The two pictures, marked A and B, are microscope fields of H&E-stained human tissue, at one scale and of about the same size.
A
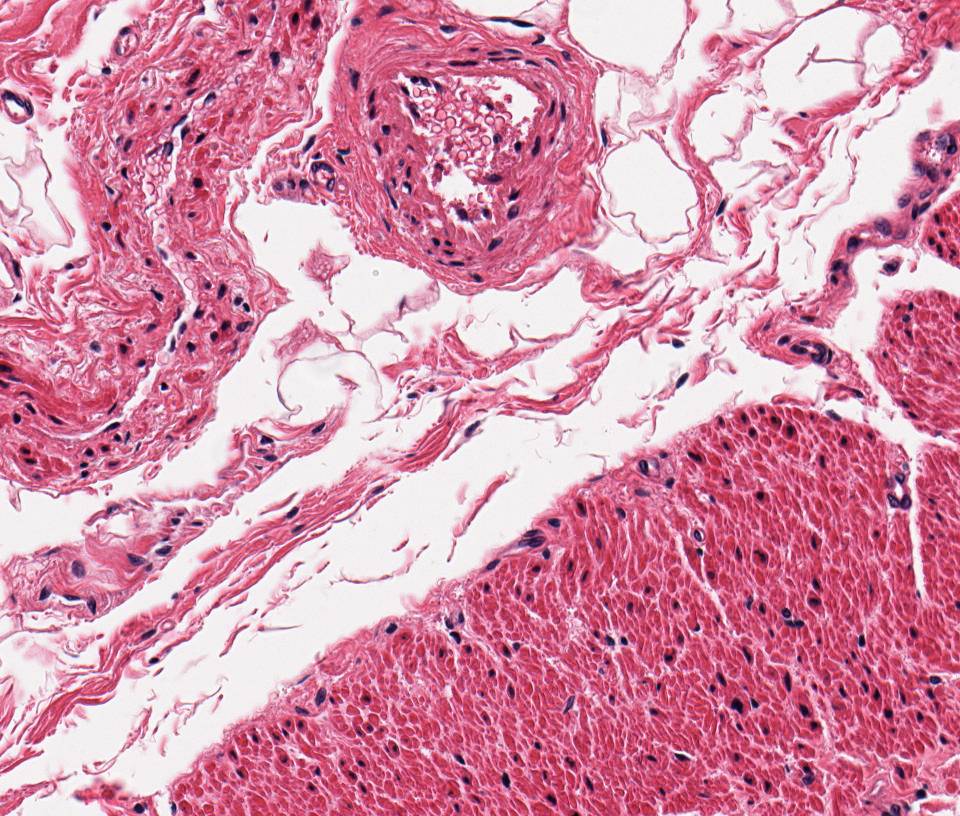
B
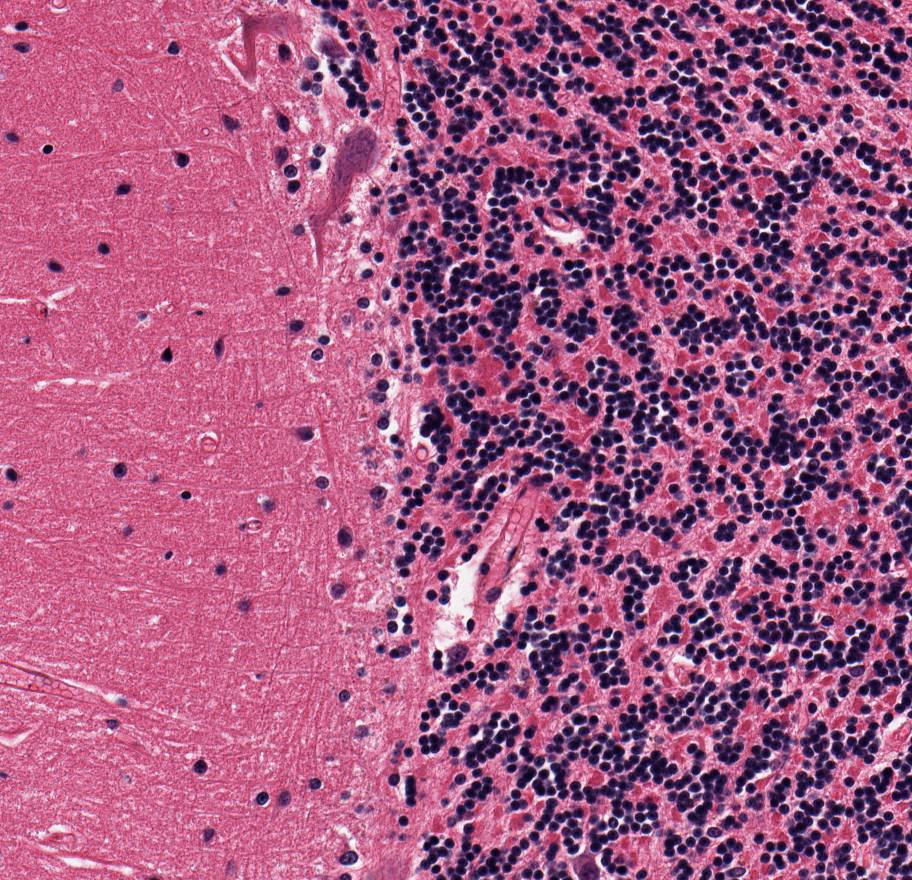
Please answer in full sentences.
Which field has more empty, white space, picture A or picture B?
Picture A has more white space.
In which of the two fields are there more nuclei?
There are more nuclei in picture B.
